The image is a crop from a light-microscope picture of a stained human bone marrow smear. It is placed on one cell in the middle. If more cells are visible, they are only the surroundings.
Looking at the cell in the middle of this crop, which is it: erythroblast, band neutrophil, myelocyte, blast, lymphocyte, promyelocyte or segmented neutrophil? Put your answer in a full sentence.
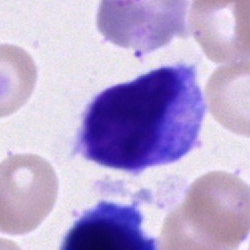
The cell found in the middle of this crop is a lymphocyte.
